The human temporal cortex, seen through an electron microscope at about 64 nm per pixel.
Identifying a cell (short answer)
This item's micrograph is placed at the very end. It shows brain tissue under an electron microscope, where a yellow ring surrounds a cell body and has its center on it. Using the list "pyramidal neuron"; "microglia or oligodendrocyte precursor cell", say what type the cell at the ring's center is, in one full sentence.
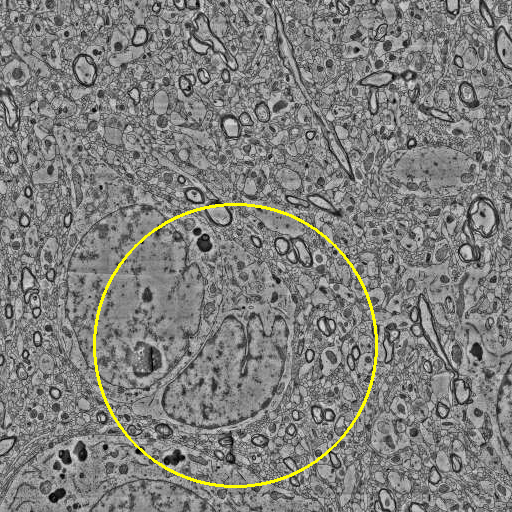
This picture shows a microglial cell or oligodendrocyte precursor cell at the center of the yellow ring drawn on it.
